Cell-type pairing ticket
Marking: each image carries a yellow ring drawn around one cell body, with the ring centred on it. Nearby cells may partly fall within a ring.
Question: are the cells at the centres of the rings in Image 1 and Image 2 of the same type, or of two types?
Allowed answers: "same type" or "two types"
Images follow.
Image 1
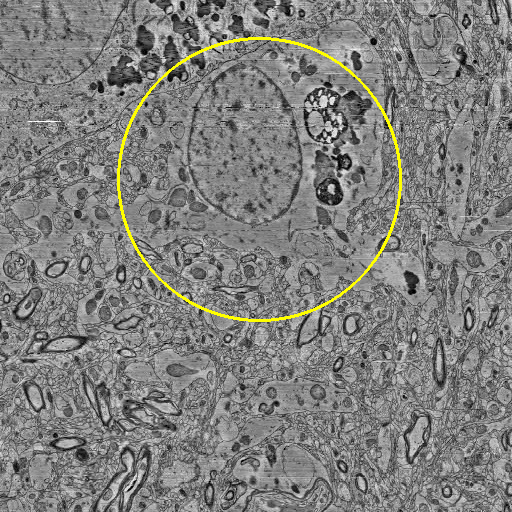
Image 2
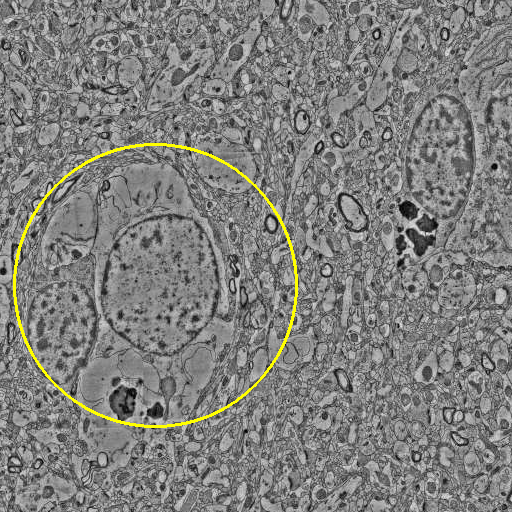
same type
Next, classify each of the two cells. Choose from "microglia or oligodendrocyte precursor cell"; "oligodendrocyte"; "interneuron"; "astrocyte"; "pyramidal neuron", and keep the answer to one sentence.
In the first picture and in the second, the ring is centred on an astrocyte.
